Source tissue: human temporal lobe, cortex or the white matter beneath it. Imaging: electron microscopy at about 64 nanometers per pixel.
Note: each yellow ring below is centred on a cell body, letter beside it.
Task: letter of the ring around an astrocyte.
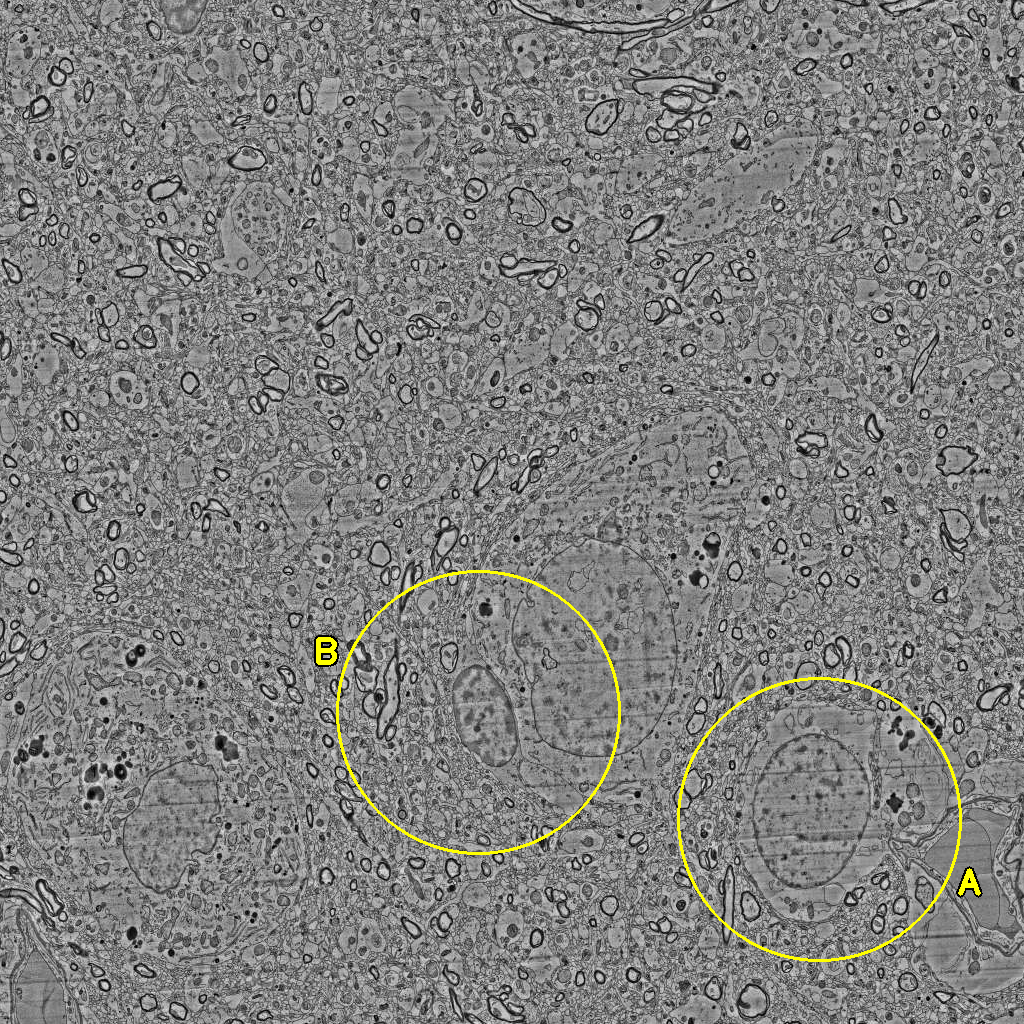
A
